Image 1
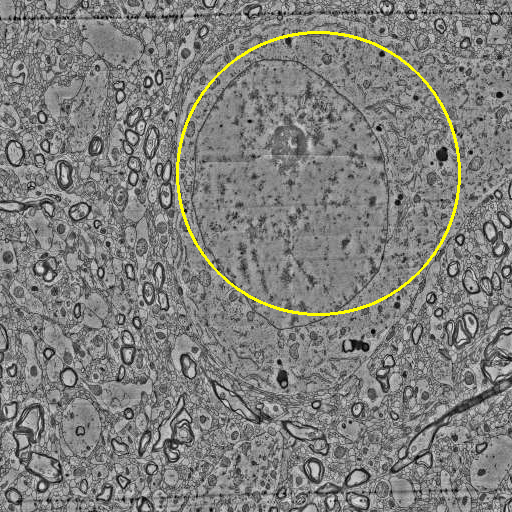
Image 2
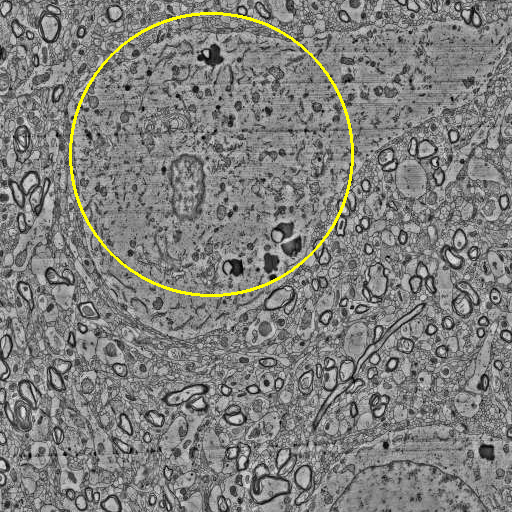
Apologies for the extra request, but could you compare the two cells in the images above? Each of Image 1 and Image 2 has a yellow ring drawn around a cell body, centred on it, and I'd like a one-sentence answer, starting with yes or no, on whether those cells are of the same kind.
Yes, both cells are of the same kind.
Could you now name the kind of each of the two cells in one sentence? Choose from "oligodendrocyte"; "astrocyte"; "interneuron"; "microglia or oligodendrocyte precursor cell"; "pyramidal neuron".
Both the first and the second picture show a pyramidal neuron in the ring.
